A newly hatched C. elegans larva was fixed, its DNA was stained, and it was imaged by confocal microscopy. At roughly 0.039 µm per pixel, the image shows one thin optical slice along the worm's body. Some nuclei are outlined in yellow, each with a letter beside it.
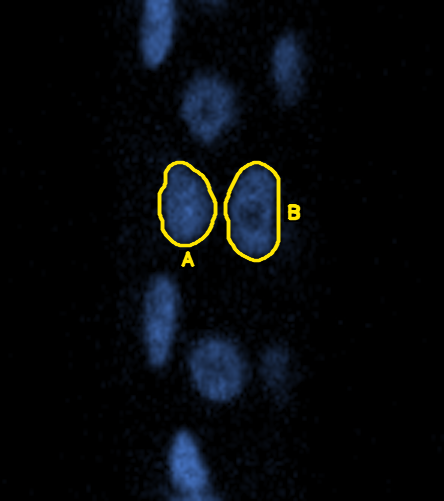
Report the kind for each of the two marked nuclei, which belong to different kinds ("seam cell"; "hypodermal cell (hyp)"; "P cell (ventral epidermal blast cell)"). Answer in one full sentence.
B belongs to a hypodermal cell (hyp), and A to a P cell (ventral epidermal blast cell).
